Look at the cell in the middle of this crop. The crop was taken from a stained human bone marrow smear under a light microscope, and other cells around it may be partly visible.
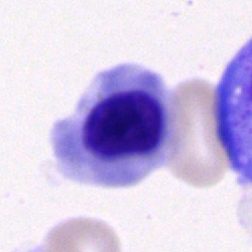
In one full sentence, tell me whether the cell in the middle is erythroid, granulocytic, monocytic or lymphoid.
The central cell is grouped with the erythroid lineage.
